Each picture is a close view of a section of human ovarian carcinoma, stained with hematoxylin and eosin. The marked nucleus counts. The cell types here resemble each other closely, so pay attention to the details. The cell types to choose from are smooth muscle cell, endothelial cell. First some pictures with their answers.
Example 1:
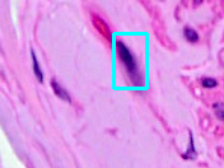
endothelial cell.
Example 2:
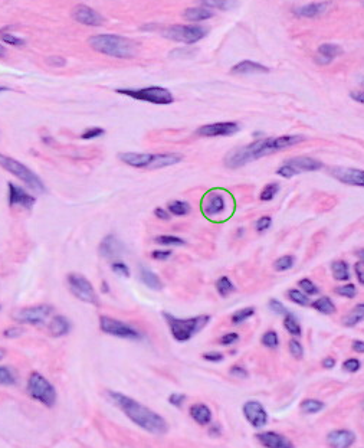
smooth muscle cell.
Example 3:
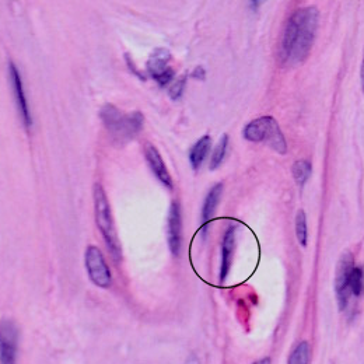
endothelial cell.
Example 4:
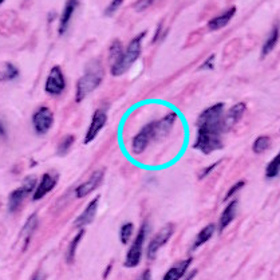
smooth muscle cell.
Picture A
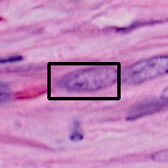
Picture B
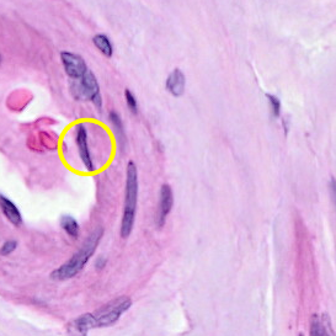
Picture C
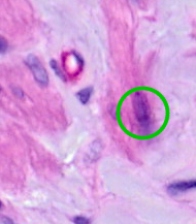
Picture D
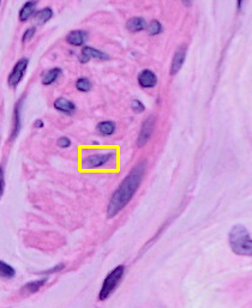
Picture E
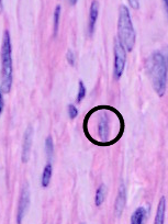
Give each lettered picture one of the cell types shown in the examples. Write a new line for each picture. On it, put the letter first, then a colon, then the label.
A: endothelial cell.
B: endothelial cell.
C: smooth muscle cell.
D: smooth muscle cell.
E: smooth muscle cell.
